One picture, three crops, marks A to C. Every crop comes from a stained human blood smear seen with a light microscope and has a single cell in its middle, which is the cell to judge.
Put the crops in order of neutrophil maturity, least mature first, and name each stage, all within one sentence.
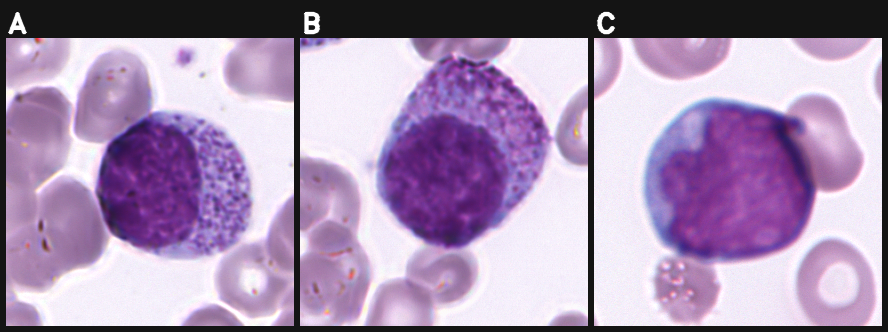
From least to most mature, the cells come in the order crop C (a myeloblast), crop B (a promyelocyte) and crop A (a myelocyte).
